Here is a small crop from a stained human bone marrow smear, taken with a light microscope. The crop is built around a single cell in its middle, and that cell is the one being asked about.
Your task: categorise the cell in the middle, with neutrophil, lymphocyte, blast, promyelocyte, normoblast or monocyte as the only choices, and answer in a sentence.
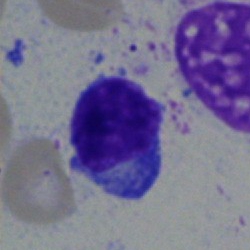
The cell at the centre of the field is a lymphocyte.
